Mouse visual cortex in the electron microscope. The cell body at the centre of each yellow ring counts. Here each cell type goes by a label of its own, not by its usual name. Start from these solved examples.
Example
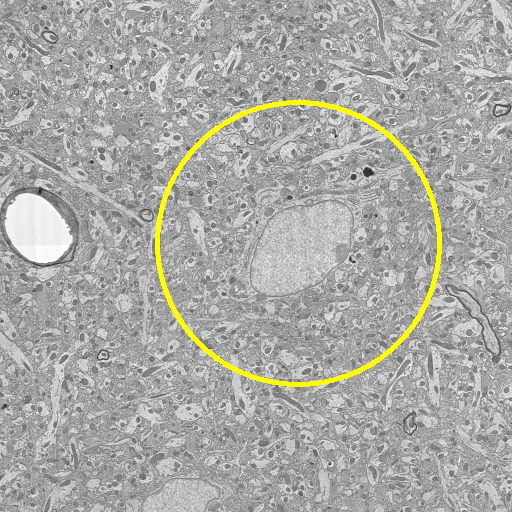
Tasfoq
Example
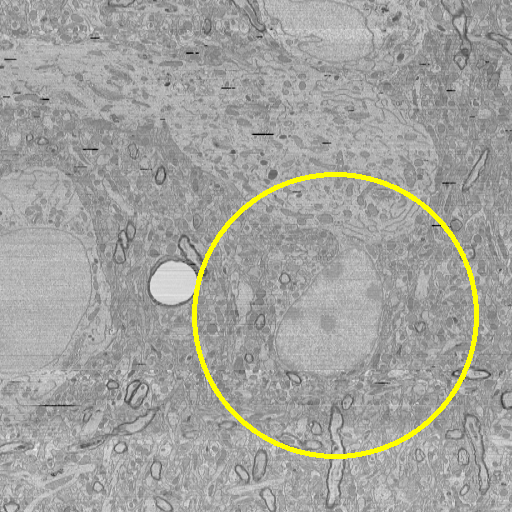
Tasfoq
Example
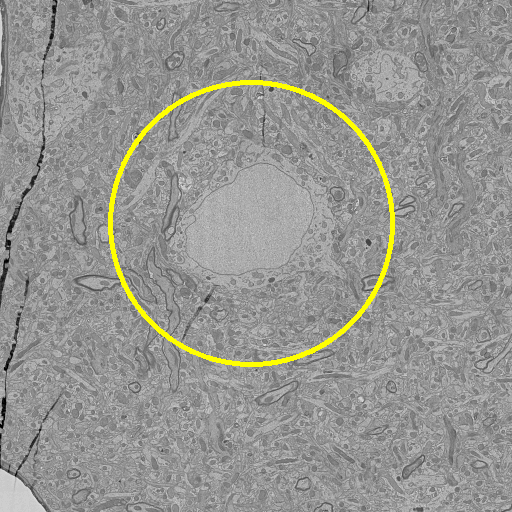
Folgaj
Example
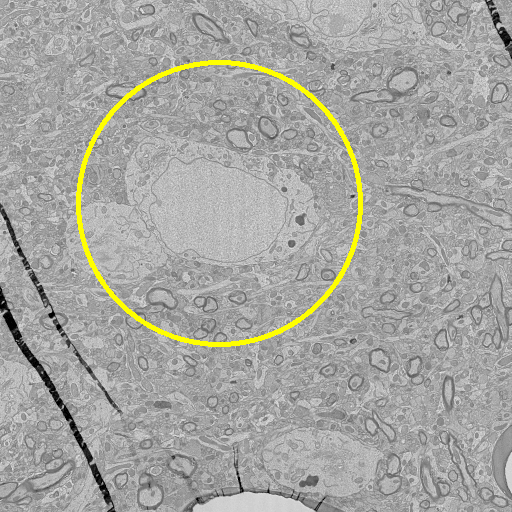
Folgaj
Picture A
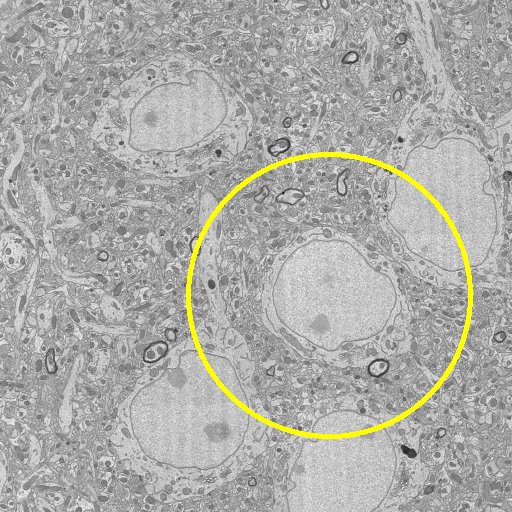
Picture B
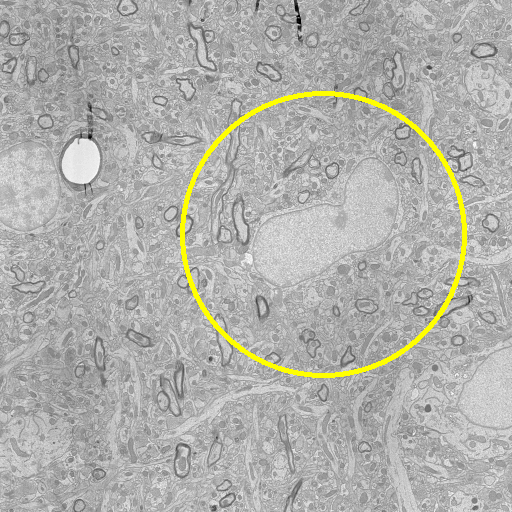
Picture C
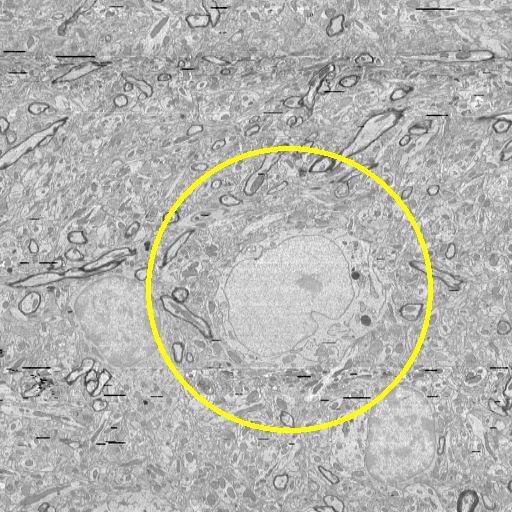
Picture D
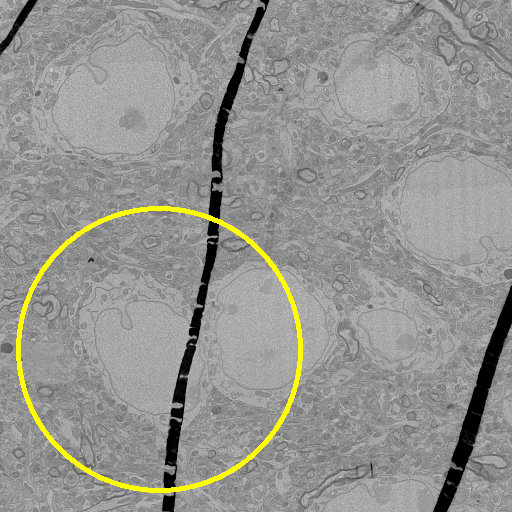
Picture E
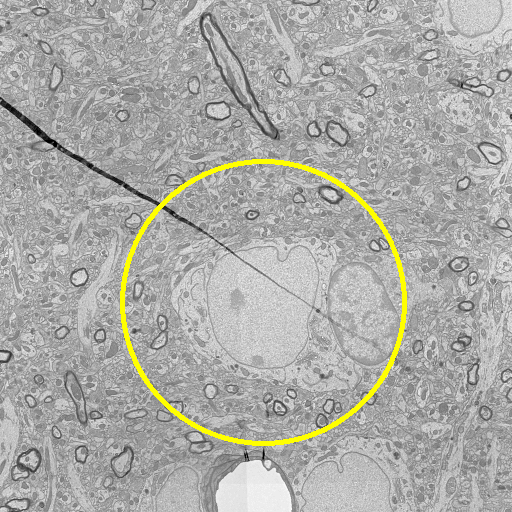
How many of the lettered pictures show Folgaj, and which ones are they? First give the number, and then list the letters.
4: A, C, D, E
